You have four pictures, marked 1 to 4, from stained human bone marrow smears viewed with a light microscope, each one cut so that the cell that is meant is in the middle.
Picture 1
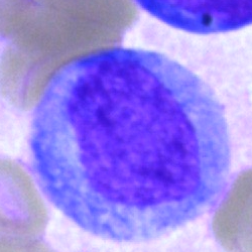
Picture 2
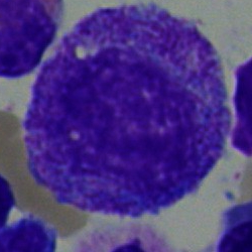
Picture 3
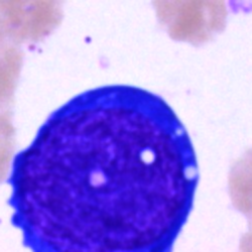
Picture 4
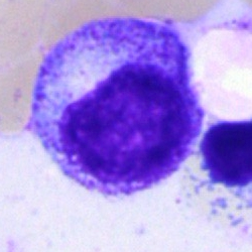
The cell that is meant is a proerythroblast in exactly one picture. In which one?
3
